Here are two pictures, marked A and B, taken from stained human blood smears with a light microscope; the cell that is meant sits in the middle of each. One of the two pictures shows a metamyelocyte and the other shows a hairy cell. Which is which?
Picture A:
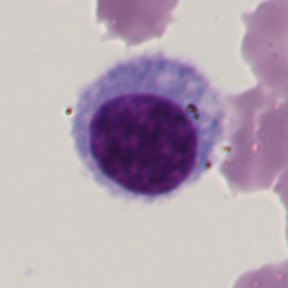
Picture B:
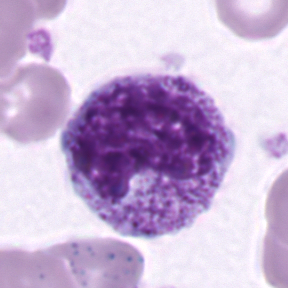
A: hairy cell
B: metamyelocyte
